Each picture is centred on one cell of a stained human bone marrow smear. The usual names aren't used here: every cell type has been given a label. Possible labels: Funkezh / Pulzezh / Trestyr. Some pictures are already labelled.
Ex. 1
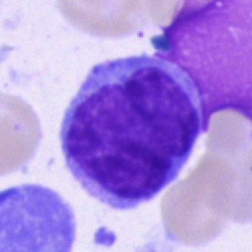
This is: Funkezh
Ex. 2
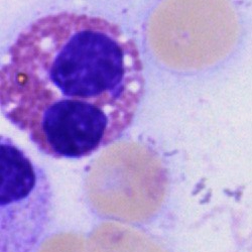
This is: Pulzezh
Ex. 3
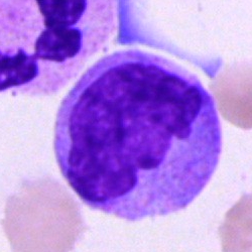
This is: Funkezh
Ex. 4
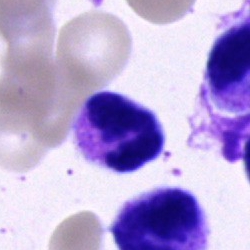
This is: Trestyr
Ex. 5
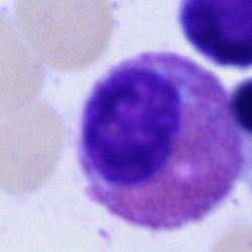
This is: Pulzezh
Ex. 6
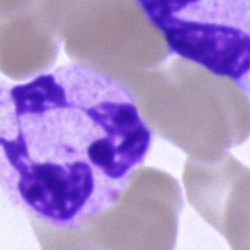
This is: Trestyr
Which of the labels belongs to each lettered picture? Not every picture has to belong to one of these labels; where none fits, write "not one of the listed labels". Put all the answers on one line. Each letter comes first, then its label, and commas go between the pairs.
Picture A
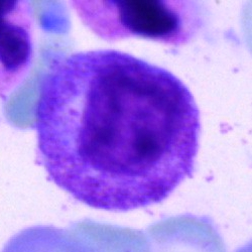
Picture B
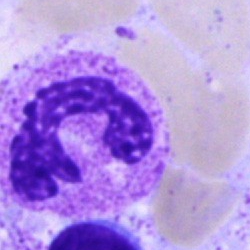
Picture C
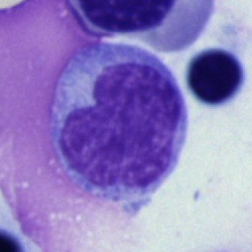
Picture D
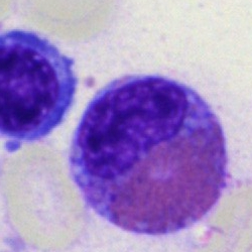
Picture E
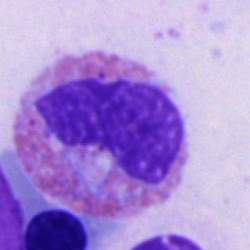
A not one of the listed labels, B Trestyr, C Funkezh, D Pulzezh, E Pulzezh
